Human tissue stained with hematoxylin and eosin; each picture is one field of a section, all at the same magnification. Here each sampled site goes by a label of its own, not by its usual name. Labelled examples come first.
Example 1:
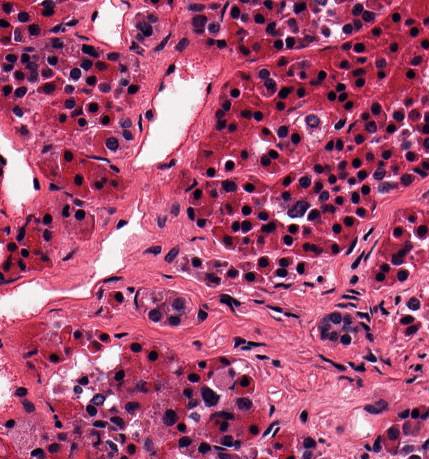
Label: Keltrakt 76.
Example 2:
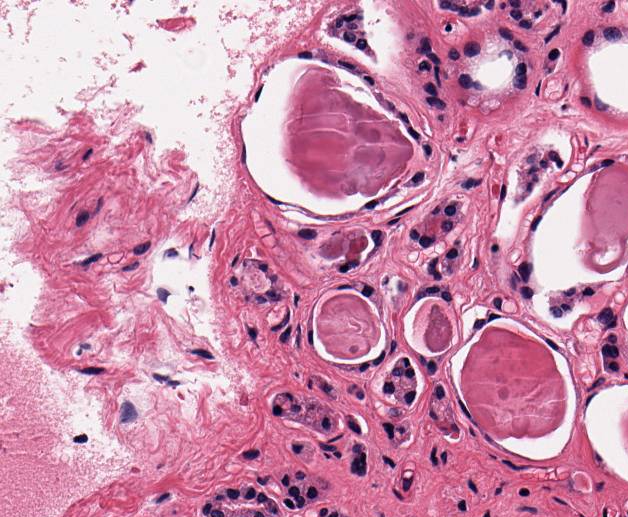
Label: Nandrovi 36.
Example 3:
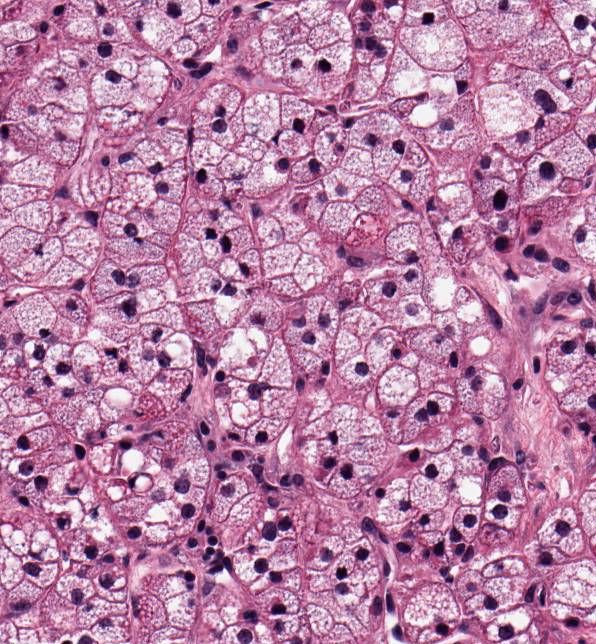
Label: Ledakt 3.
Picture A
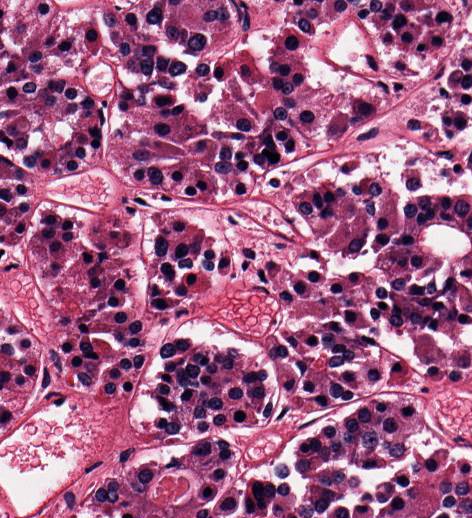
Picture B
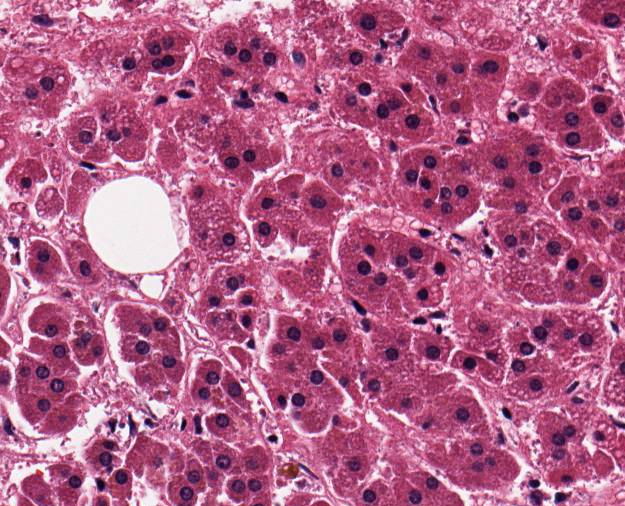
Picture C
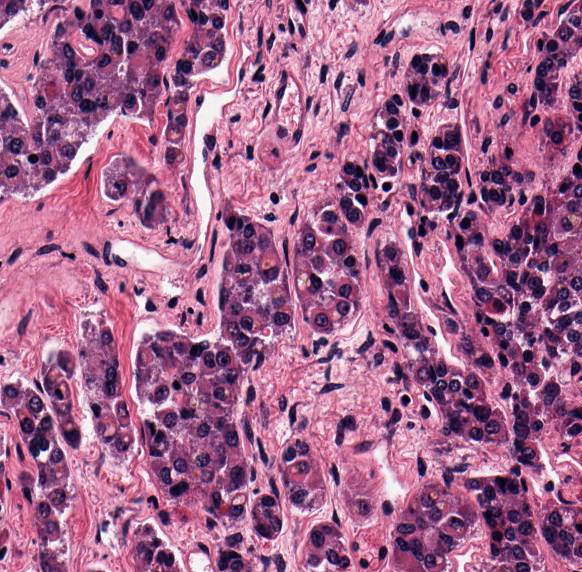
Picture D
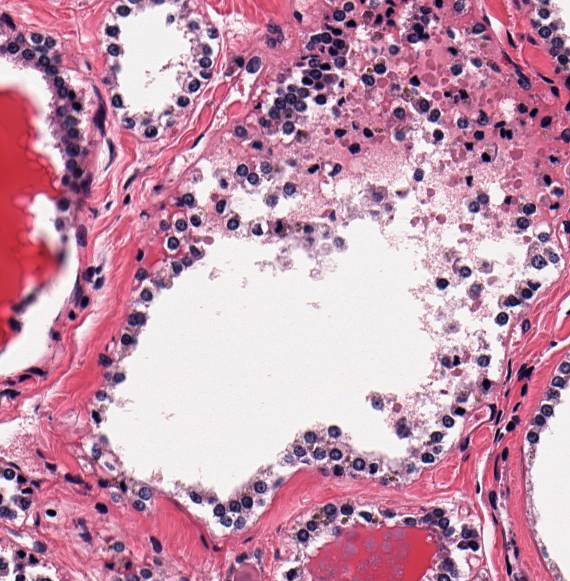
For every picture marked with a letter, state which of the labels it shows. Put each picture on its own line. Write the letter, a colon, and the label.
A: Keltrakt 76.
B: Ledakt 3.
C: Keltrakt 76.
D: Nandrovi 36.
